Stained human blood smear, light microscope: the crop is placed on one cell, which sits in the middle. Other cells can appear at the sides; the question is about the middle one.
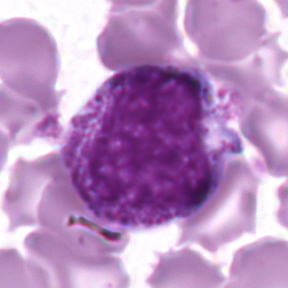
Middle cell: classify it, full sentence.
The crop shows a myelocyte in its centre.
